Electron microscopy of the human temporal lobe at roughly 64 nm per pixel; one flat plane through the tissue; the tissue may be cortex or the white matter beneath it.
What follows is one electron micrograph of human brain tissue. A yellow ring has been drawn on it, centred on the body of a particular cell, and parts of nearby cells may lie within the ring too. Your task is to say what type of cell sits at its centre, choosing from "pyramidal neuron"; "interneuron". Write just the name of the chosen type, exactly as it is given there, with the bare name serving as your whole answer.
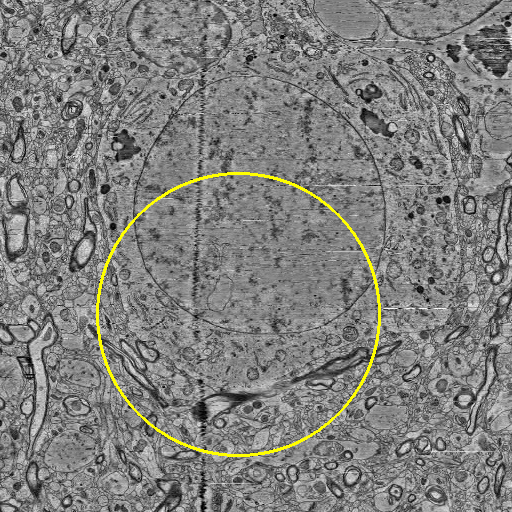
pyramidal neuron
